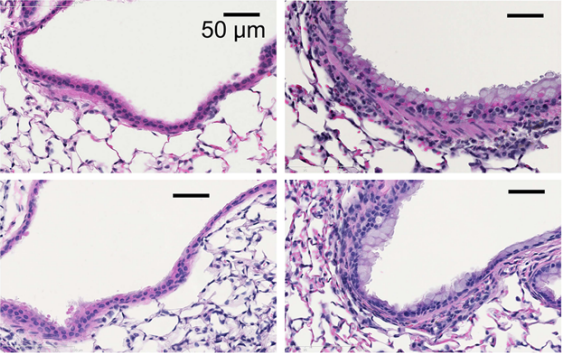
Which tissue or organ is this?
Lung.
